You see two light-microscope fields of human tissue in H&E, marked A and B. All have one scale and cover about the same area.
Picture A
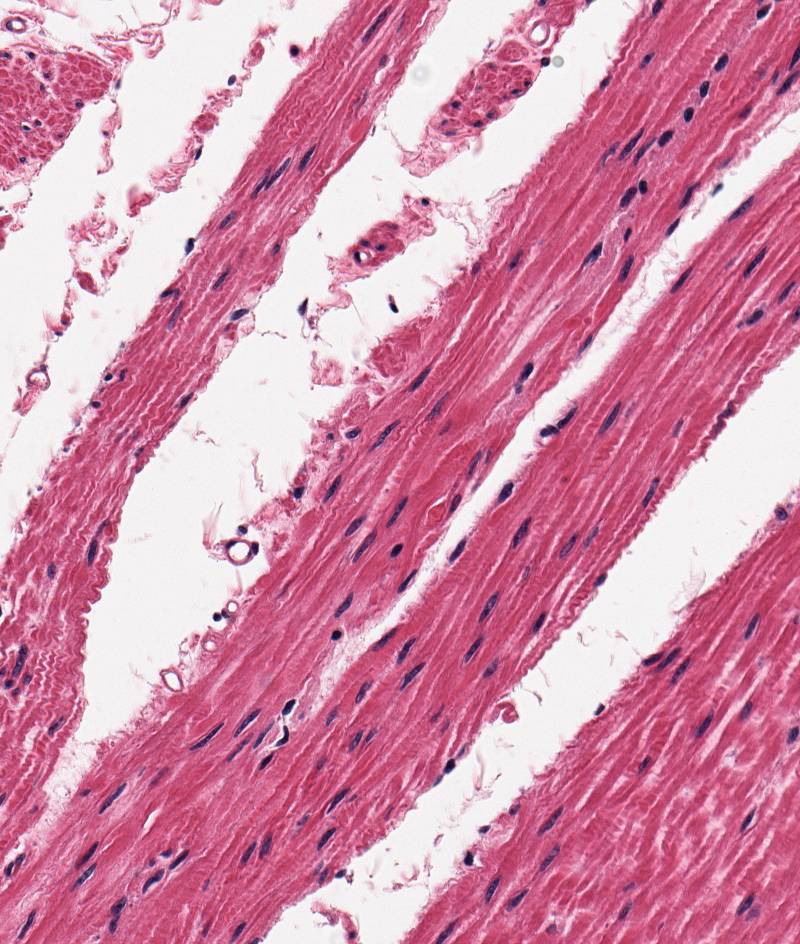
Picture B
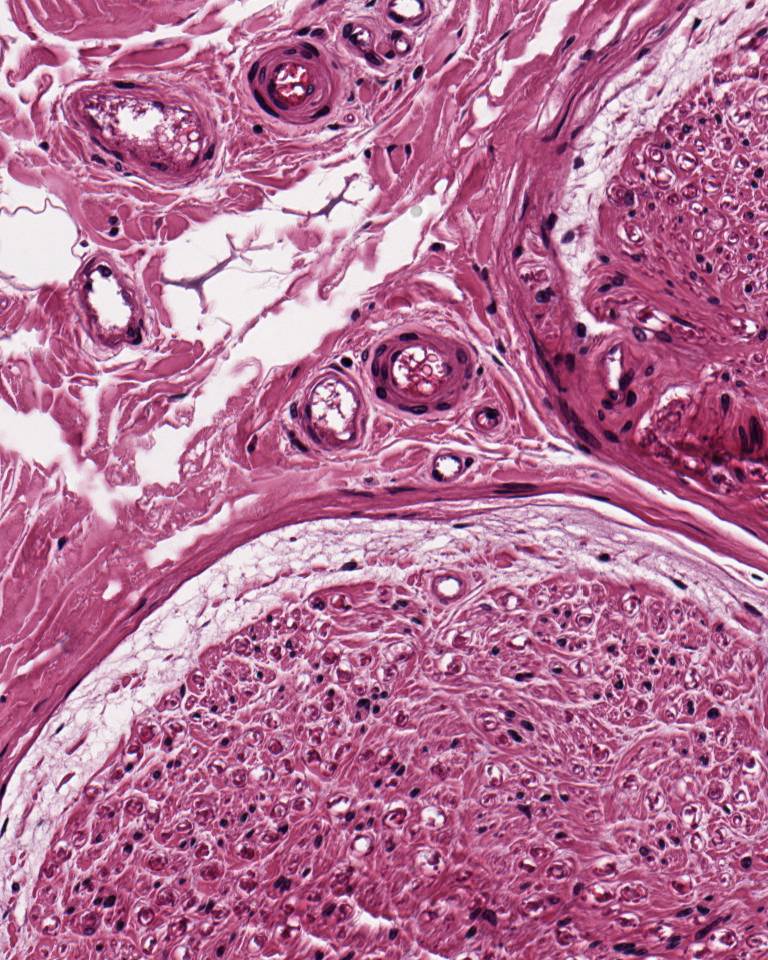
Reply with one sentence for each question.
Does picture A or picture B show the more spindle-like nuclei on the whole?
Longer, more slender nuclei lie in picture A.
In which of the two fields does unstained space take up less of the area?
Less of picture B is empty and white.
